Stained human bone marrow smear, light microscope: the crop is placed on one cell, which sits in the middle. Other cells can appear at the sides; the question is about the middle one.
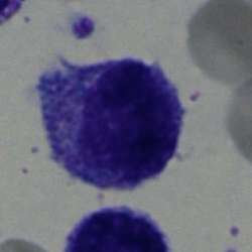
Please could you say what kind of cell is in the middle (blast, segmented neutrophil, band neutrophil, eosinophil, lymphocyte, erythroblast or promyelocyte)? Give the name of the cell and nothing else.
promyelocyte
